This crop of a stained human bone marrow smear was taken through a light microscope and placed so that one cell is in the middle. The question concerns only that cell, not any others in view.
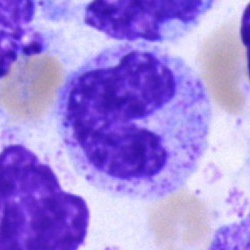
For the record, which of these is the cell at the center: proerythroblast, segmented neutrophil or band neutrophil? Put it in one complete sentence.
For this crop, the central cell is a band neutrophil.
